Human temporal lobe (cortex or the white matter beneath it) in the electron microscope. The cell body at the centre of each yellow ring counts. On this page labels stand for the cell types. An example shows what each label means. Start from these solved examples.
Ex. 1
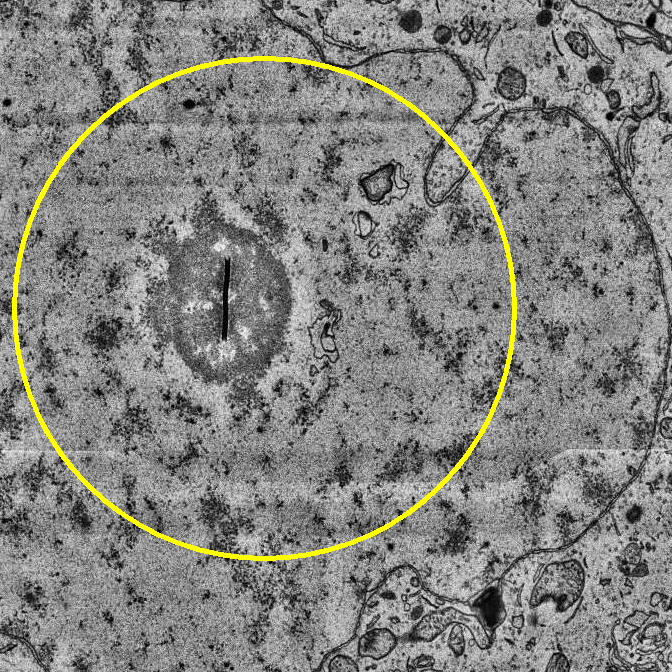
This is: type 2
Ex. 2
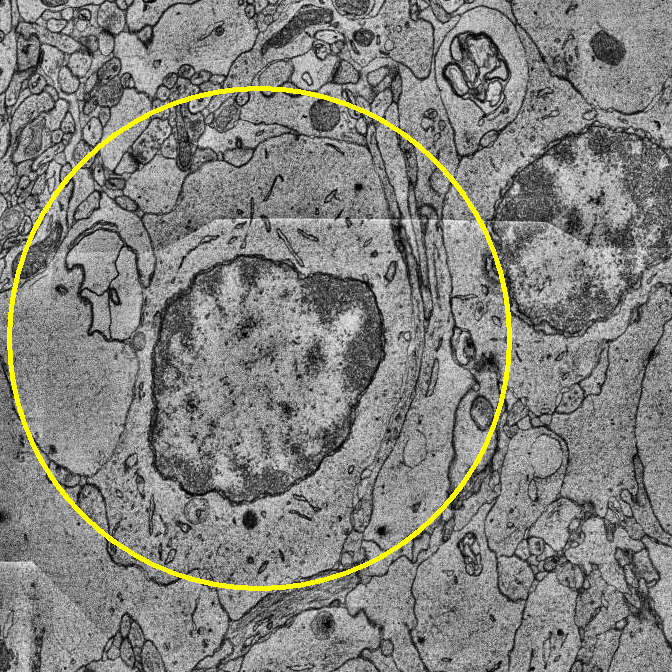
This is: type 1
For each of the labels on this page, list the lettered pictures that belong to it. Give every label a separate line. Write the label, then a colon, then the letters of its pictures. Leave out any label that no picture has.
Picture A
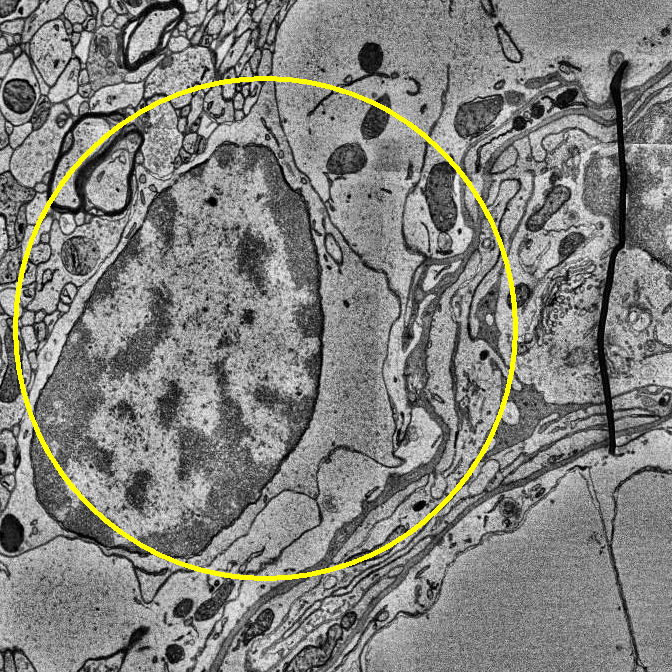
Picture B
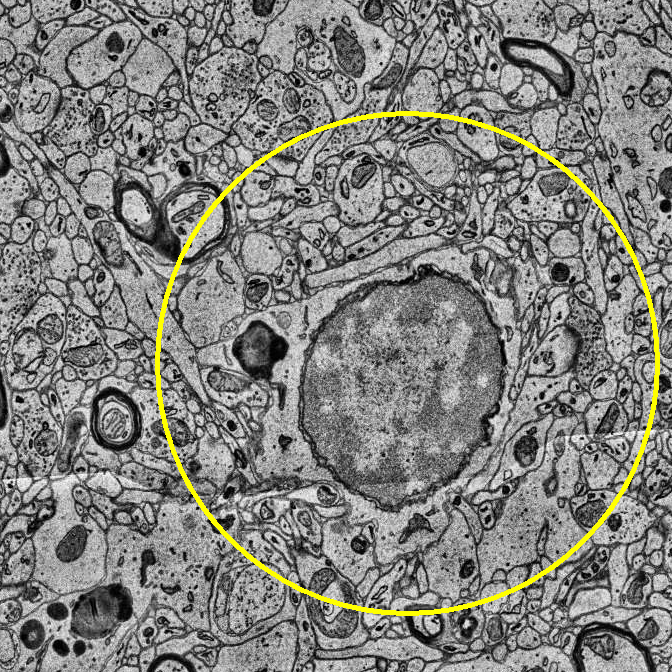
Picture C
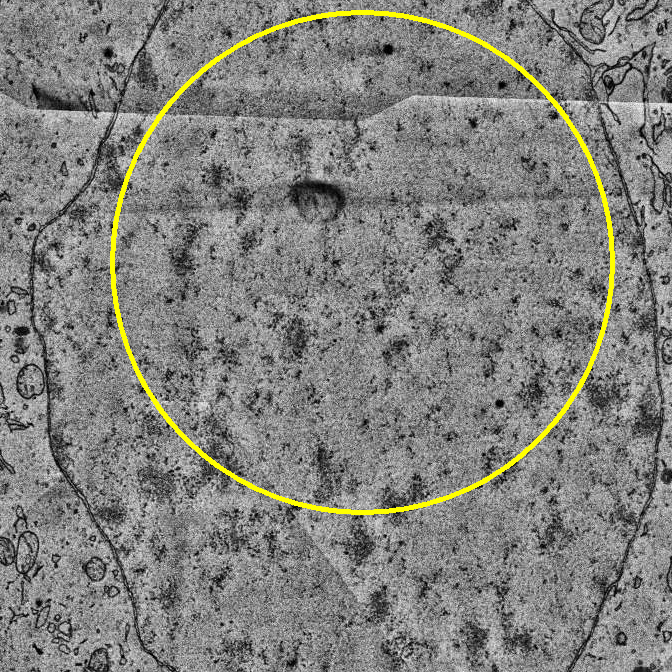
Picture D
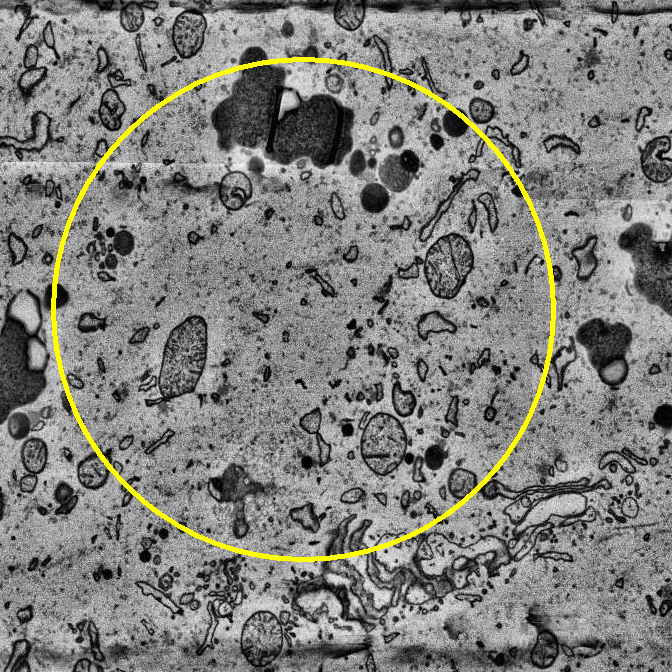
type 2: C, D
type 1: A, B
